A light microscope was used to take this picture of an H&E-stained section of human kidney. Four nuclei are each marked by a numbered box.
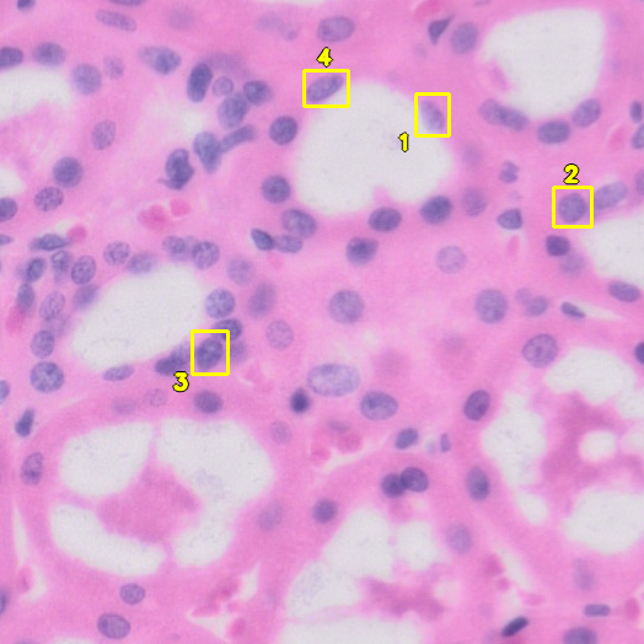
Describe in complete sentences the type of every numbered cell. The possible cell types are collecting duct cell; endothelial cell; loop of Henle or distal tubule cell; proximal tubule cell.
Cells 1, 2 and 4 are loop of Henle or distal tubule cells. Cell 3 is a collecting duct cell.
